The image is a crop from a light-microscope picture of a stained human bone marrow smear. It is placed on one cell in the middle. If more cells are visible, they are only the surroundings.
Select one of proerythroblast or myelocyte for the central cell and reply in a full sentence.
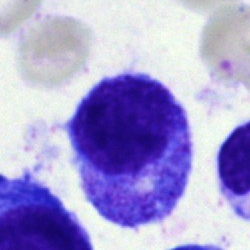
The middle position in this crop is taken by a myelocyte.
